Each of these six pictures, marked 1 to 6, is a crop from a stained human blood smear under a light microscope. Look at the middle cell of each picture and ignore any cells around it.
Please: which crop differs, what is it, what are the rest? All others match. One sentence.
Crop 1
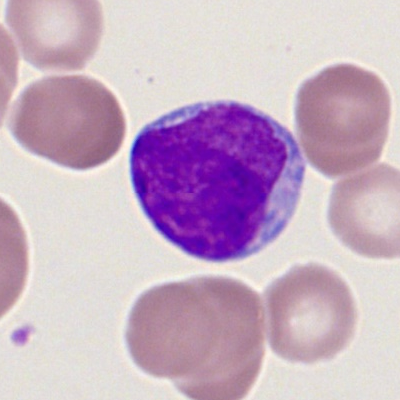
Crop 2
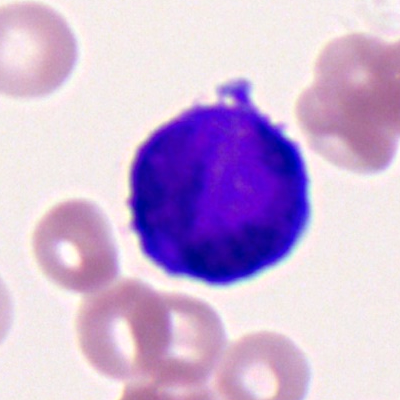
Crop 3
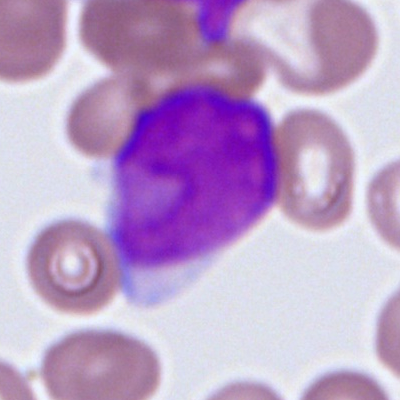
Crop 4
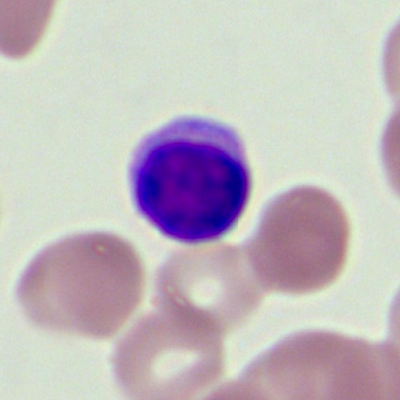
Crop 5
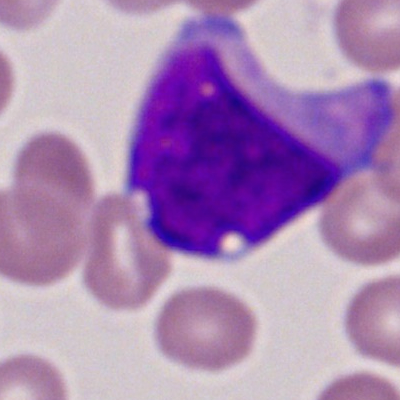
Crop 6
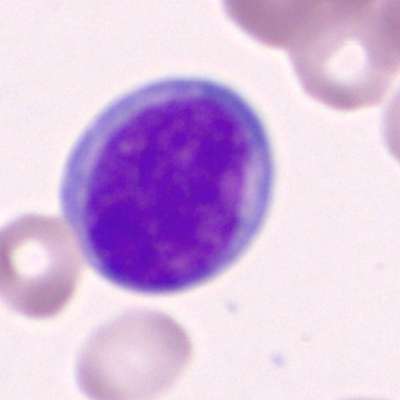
All the crops contain myeloblasts save crop 4, where there is a lymphocyte.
